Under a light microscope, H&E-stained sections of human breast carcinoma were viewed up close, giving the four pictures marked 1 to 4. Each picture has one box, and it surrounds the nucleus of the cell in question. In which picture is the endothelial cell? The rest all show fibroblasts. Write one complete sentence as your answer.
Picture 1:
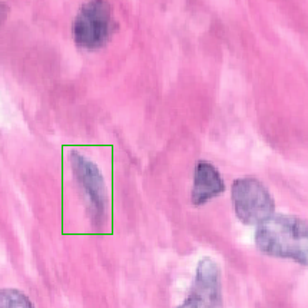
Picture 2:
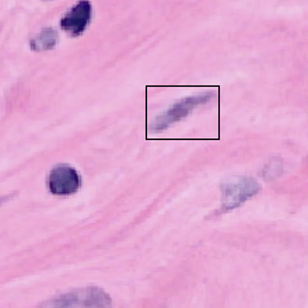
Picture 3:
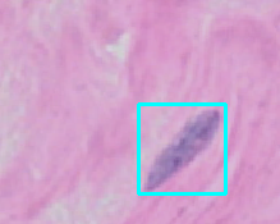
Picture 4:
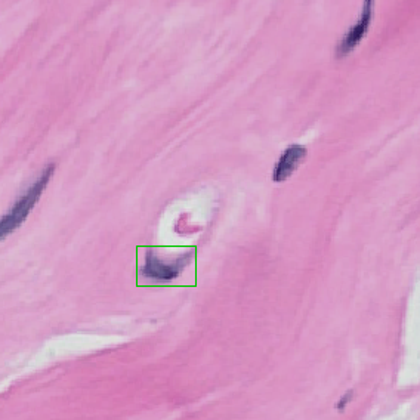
Picture 4 shows the endothelial cell.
